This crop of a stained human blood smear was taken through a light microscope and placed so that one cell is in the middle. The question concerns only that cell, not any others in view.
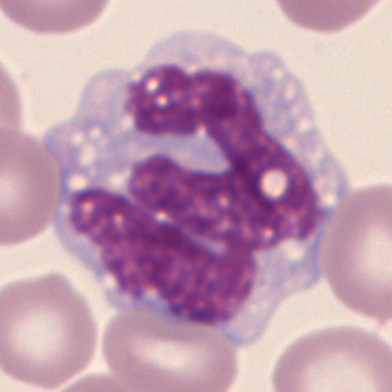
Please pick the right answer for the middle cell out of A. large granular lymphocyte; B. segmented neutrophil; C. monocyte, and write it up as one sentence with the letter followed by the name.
The cell centred in the crop is a monocyte, and the correct option is thus C.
